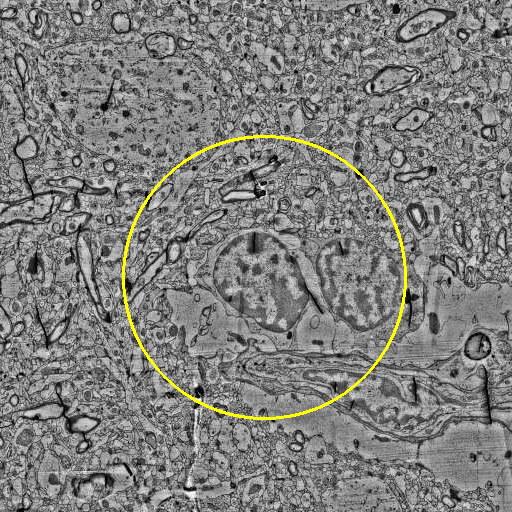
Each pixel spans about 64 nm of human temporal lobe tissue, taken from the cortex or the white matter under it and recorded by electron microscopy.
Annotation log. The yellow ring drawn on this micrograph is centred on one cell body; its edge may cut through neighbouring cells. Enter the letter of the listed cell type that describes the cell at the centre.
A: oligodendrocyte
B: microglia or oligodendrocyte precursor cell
B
